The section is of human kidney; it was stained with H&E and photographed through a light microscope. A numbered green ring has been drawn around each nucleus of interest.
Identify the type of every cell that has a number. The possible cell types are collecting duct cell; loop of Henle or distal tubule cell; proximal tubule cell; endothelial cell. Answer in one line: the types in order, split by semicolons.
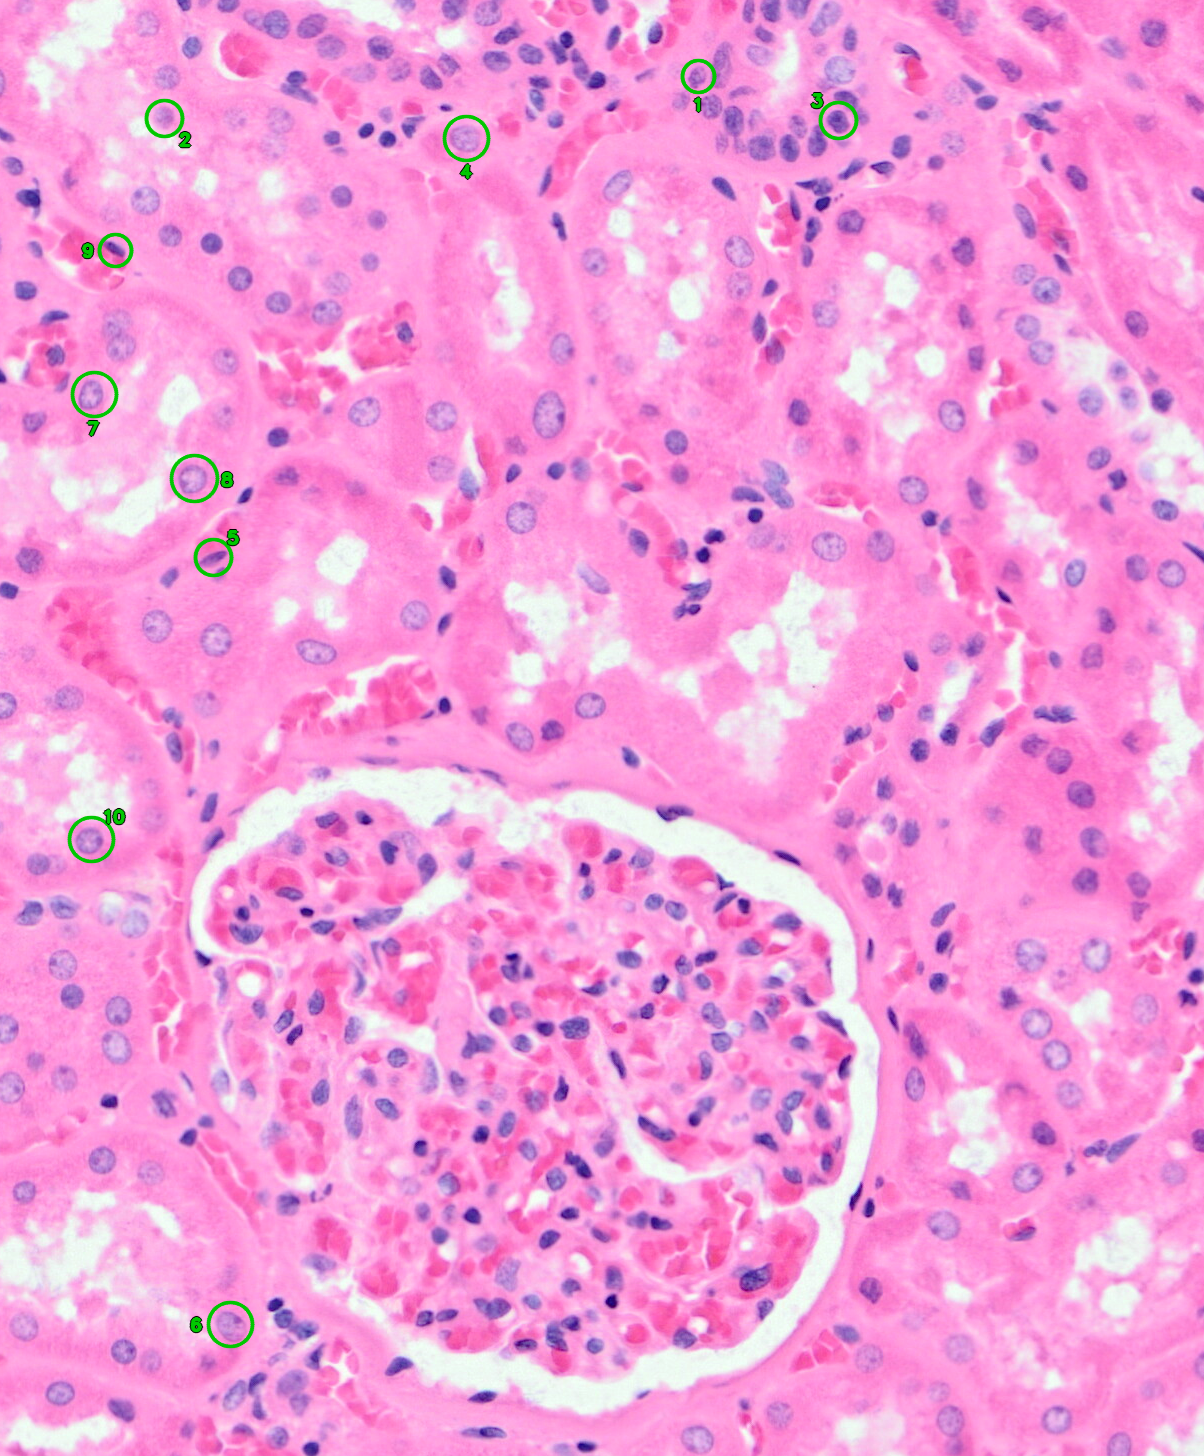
collecting duct cell; proximal tubule cell; collecting duct cell; proximal tubule cell; endothelial cell; proximal tubule cell; proximal tubule cell; proximal tubule cell; endothelial cell; proximal tubule cell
